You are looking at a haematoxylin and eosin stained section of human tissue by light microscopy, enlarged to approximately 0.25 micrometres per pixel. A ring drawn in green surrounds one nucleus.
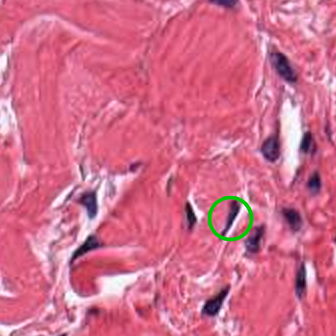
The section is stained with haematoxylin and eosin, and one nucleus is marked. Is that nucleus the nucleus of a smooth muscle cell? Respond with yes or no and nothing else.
no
